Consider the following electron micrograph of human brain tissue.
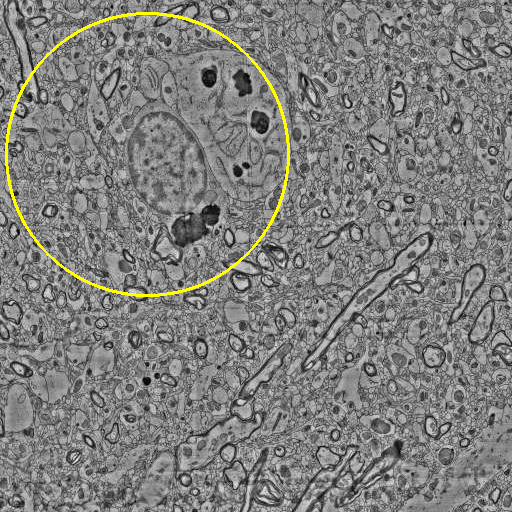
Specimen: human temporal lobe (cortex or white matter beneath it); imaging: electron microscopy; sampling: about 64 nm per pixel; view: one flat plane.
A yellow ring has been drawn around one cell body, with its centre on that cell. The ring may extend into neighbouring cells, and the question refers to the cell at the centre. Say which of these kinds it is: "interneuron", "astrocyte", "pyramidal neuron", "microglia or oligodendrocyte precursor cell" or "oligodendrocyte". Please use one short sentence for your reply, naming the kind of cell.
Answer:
The centre of the ring falls on an oligodendrocyte.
